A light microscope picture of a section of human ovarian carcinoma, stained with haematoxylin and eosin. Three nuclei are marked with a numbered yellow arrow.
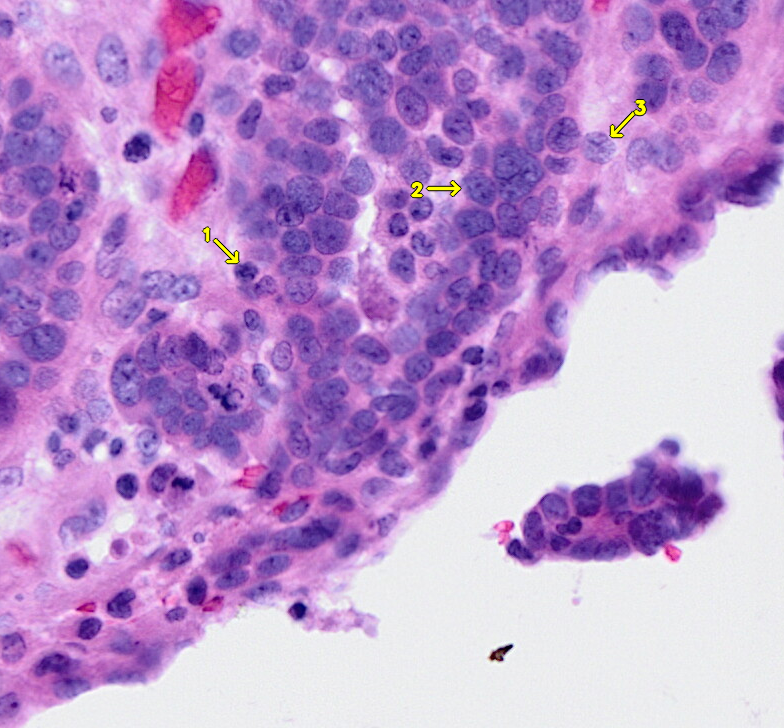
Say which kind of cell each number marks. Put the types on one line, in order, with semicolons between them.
lymphocyte; carcinoma cell; fibroblast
